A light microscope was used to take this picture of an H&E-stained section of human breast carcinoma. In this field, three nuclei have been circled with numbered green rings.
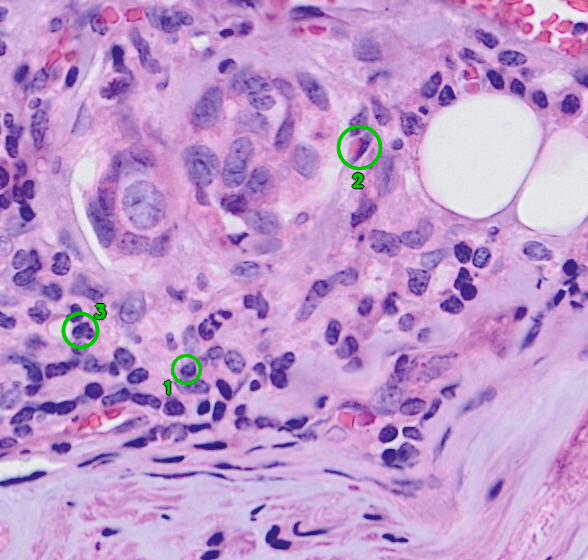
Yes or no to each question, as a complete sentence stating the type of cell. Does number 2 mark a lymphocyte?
No, cell 2 counts as an endothelial cell rather than as a lymphocyte.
